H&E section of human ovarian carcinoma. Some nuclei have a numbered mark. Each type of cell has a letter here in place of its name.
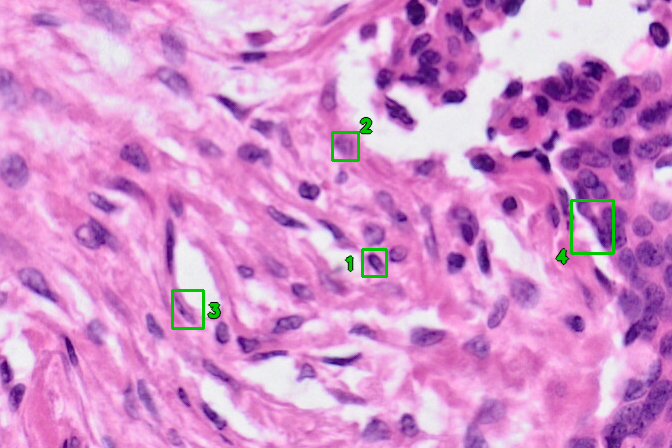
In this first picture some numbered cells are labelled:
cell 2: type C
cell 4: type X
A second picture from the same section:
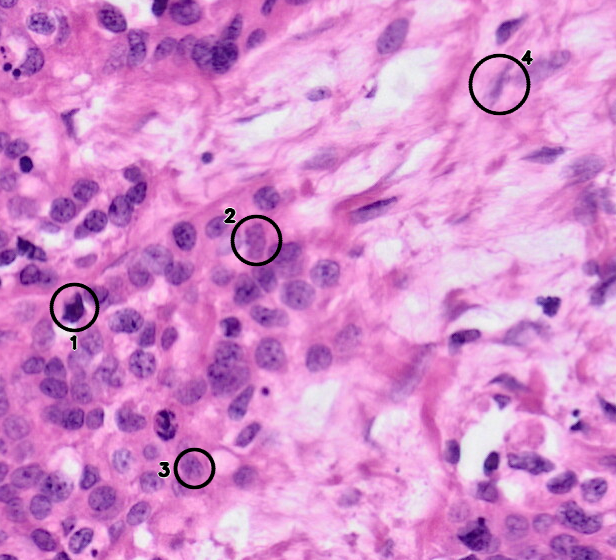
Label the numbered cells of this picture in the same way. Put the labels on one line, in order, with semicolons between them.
type X; type X; type X; type C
